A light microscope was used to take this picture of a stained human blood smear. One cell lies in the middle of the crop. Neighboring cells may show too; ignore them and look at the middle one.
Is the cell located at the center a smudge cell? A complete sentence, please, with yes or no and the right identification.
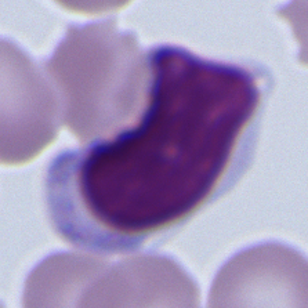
No, the cell at the centre of the crop corresponds to a typical lymphocyte, not a smudge cell.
